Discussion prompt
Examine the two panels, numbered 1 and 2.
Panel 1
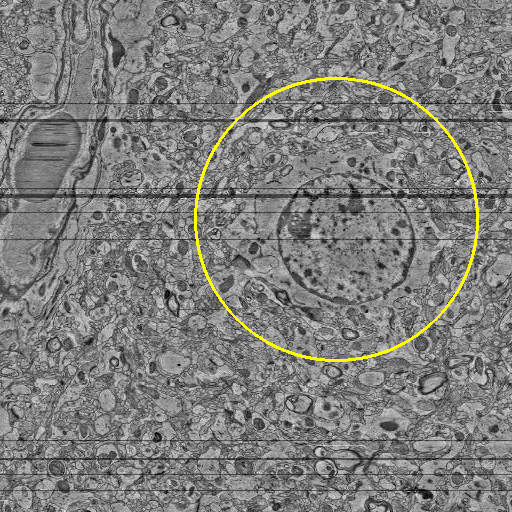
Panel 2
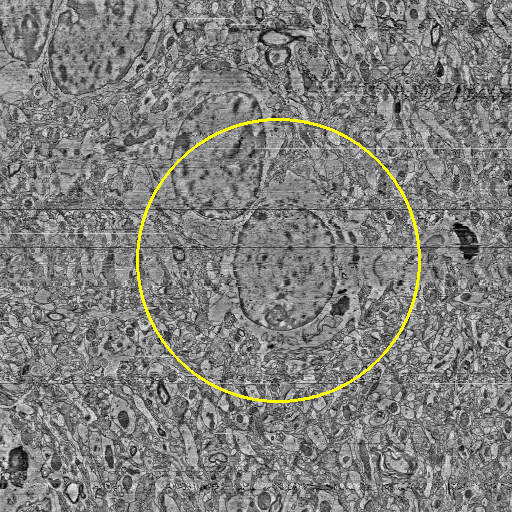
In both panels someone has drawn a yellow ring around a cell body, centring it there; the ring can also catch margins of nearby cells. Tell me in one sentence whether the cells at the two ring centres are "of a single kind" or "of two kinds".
Taken together, the two cells centred in the rings of Panels 1 and 2 are of a single kind.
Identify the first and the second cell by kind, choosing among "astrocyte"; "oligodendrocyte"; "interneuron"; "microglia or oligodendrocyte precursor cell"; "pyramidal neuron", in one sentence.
Both the first and the second picture show an astrocyte in the ring.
